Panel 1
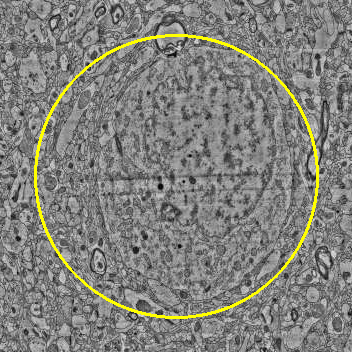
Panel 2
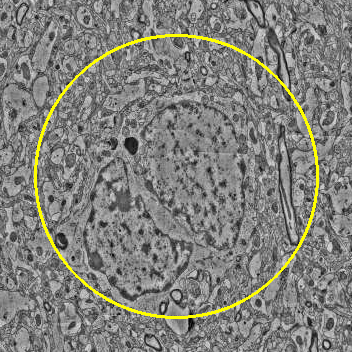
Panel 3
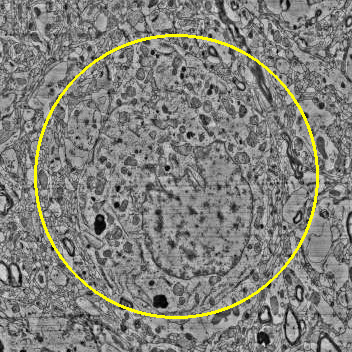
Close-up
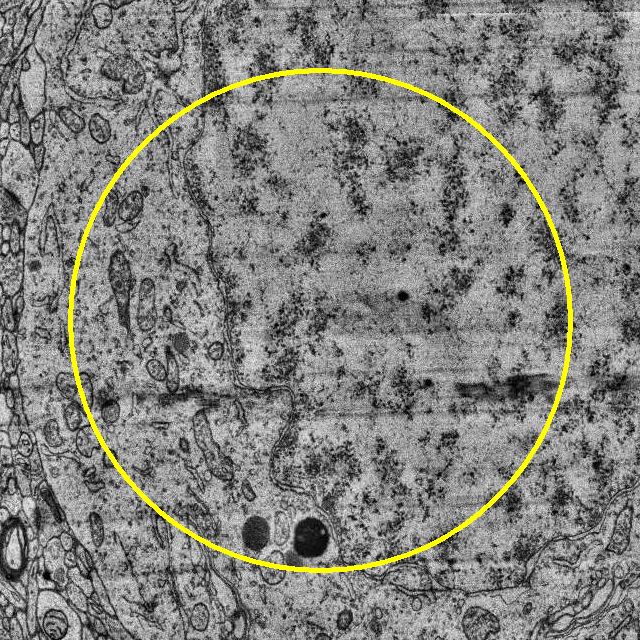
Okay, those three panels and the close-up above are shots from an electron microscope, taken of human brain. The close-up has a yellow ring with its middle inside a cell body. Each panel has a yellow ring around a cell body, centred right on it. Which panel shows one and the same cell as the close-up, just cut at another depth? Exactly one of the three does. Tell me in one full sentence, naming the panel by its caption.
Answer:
The close-up pictures the cell encircled in Panel 1.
